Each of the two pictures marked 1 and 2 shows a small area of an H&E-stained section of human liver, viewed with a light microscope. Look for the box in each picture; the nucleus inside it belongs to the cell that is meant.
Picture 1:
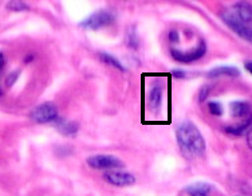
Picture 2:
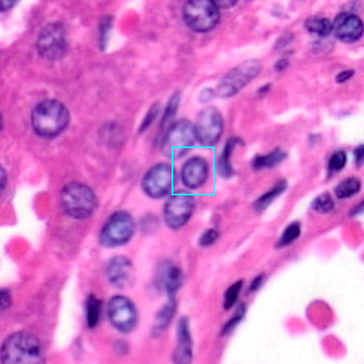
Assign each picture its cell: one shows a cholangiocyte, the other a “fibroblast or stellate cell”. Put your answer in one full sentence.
The cell in picture 1 is a “fibroblast or stellate cell”, and the one in picture 2 is a cholangiocyte.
